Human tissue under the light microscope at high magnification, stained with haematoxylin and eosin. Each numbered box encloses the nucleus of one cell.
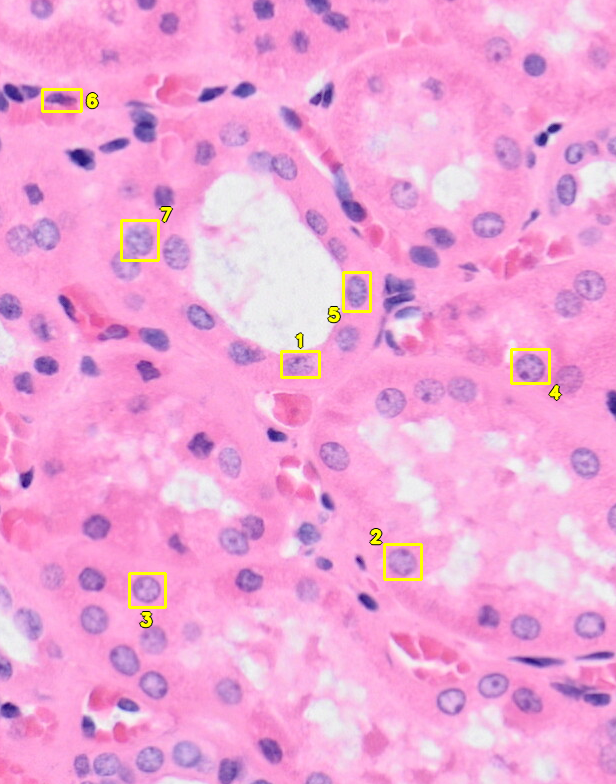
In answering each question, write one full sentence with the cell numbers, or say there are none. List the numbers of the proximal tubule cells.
Each of the cells numbered 2, 3 and 4 is among the proximal tubule cells.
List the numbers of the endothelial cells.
Of the marked cells, the one numbered 6 is an endothelial cell and the rest are not.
